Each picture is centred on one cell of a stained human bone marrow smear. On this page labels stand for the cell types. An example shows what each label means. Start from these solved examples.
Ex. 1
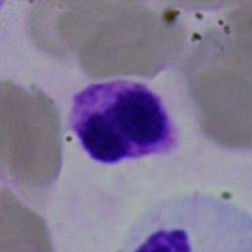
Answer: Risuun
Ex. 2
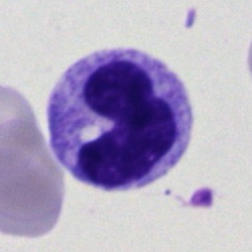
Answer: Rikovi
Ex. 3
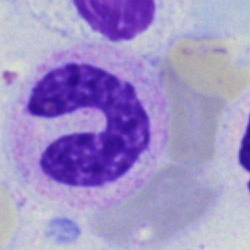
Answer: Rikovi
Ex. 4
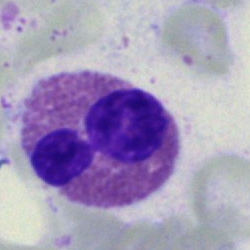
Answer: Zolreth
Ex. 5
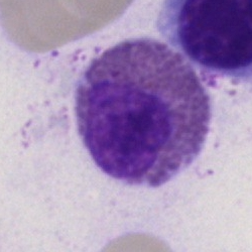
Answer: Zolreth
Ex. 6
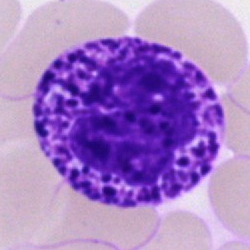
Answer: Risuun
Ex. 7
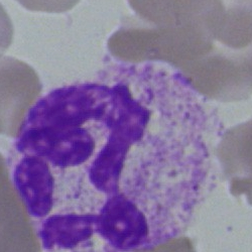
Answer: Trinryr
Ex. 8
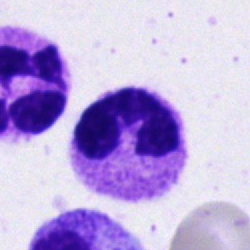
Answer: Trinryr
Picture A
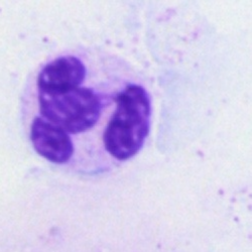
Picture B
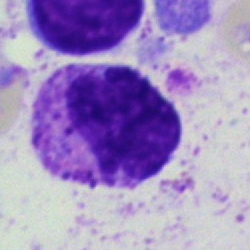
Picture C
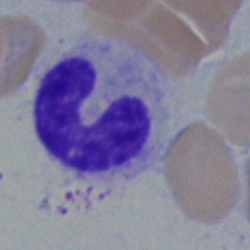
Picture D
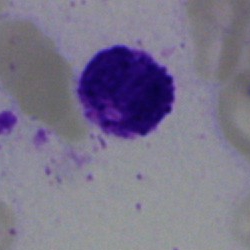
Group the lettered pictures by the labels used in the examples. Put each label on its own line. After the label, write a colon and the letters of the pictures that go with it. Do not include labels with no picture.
Risuun: B, D
Rikovi: C
Trinryr: A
